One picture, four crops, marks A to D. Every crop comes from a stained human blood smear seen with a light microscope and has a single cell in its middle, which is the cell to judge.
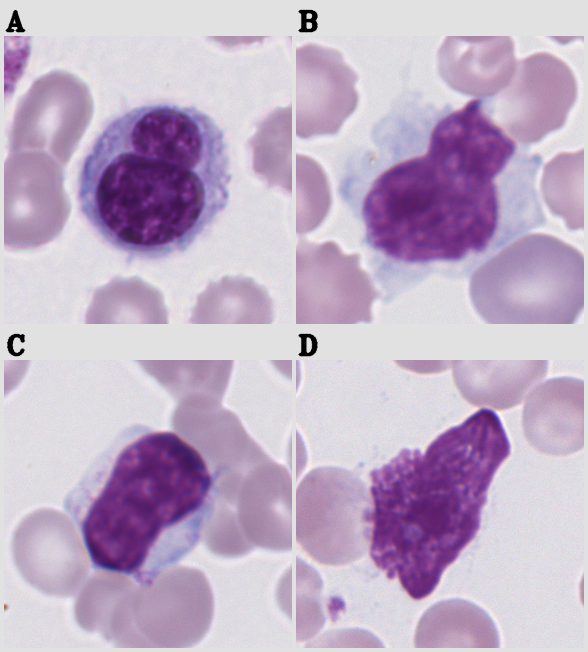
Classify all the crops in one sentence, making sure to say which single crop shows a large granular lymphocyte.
In this group, crop C shows a large granular lymphocyte, while crop A is a plasma cell, crop B is a hairy cell and crop D is a smudge cell.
